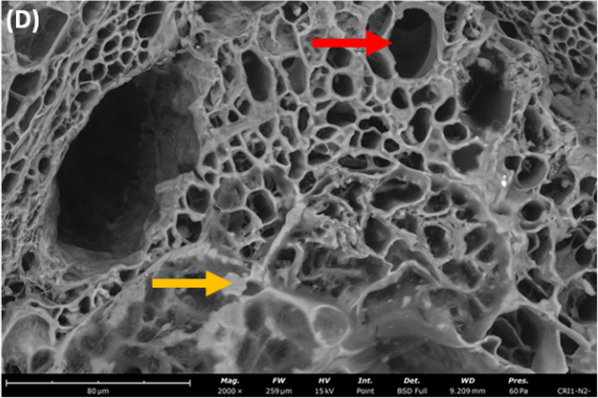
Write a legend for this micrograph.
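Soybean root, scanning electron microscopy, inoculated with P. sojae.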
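On the left lies one very large dark cavity, much wider than the openings around it. In the lower part of the field the walls look more irregular and smeared, with strands of material crossing between the lumina.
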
